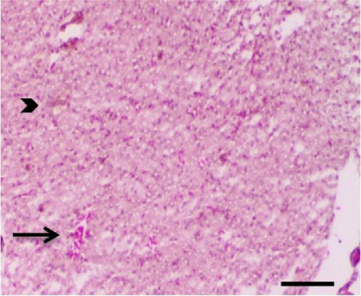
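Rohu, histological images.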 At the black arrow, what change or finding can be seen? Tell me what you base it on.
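The arrow points to a small cluster of red-stained cells within the tissue. The red cluster stands out against the pale, finely granular parenchyma. So: congestion of blood vessels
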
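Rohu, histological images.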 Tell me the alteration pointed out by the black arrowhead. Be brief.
hepatocyte cytoplasmic vacuolization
